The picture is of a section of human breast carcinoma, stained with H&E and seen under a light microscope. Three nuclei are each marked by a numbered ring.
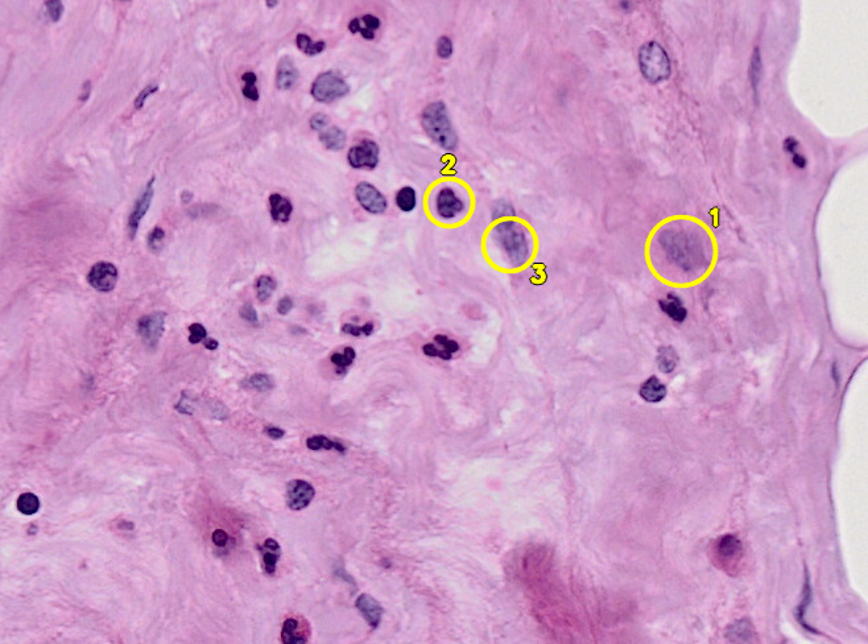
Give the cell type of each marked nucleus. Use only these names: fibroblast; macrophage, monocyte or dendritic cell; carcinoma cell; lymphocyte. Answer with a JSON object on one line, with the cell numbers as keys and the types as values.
{"1": "fibroblast", "2": "lymphocyte", "3": "fibroblast"}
